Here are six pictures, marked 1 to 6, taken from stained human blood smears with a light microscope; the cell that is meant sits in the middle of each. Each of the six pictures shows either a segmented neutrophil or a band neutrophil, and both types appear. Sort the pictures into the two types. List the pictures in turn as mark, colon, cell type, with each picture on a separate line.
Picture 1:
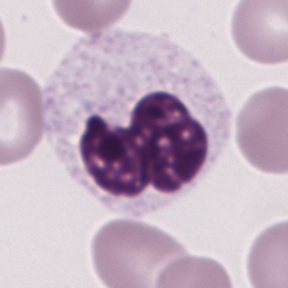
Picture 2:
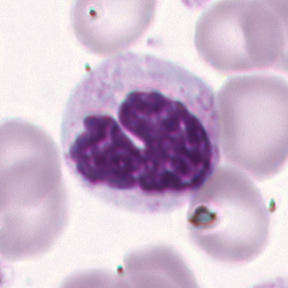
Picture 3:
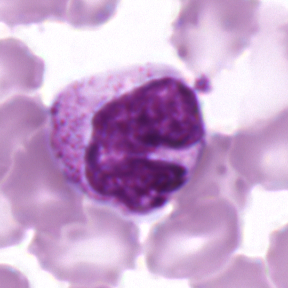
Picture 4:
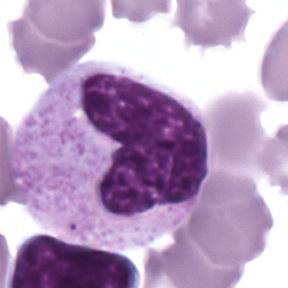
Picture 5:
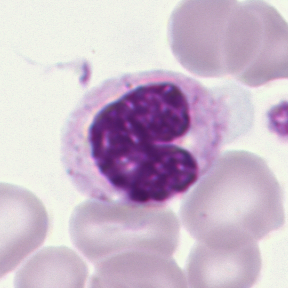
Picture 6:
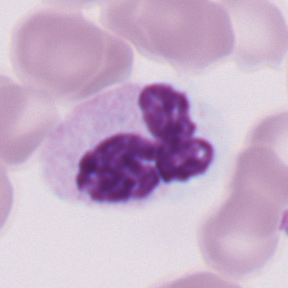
1: segmented neutrophil
2: band neutrophil
3: band neutrophil
4: band neutrophil
5: band neutrophil
6: segmented neutrophil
